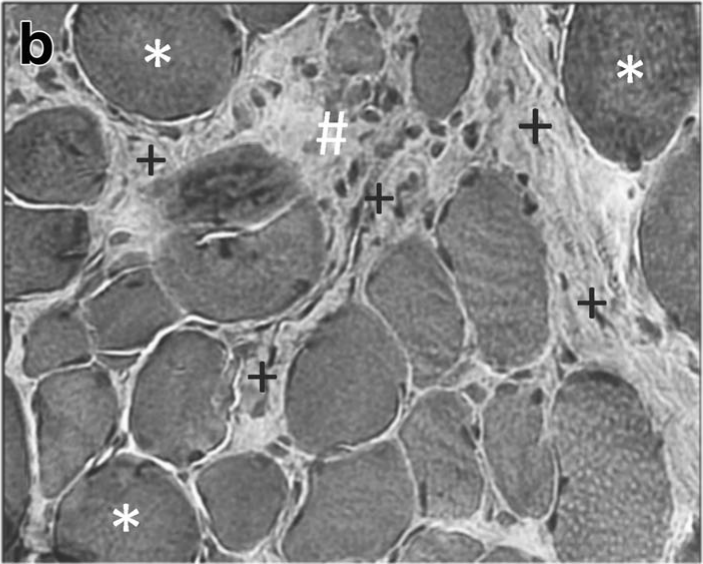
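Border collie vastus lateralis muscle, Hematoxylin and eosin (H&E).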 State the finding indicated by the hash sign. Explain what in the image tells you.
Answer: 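Many small dark nuclei are crowded in the tissue between the fibers near the hash sign.
Hence: increased cellularity.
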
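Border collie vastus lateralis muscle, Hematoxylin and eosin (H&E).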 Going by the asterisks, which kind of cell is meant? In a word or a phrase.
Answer: Hyaline fibers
